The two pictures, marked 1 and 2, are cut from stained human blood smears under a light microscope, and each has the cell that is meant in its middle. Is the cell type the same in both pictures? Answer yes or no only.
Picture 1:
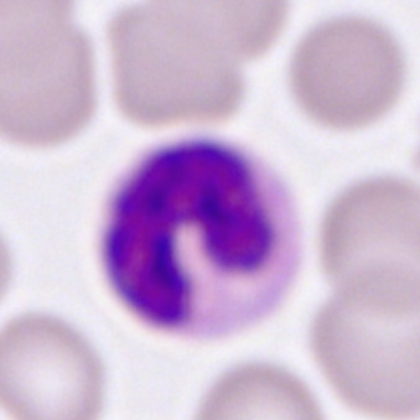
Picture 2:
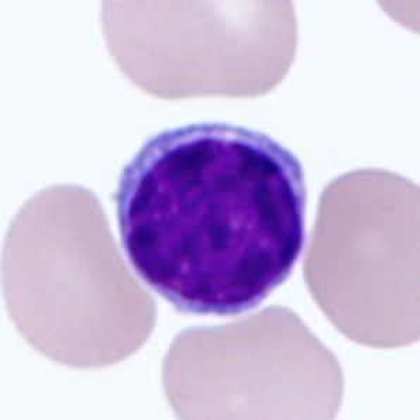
no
